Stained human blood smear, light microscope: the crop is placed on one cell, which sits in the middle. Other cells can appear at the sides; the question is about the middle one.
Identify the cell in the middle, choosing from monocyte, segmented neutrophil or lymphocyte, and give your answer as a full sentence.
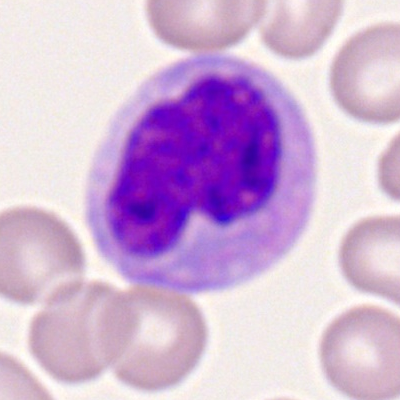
Standing at the centre of this crop is a monocyte.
